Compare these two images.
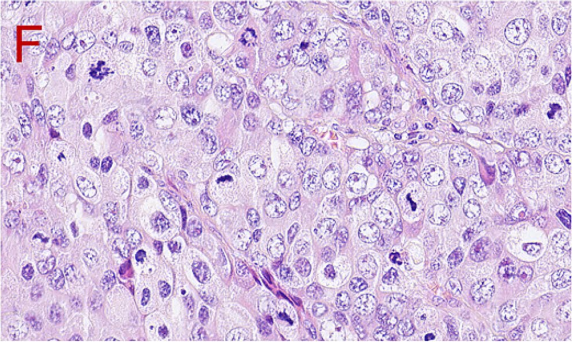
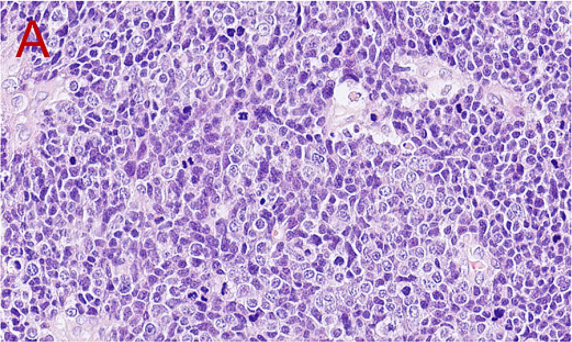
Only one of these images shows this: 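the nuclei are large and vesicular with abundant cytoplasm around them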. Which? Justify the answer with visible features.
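The first image. Second image: crowded cells with dark, smaller nuclei and scant cytoplasm.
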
